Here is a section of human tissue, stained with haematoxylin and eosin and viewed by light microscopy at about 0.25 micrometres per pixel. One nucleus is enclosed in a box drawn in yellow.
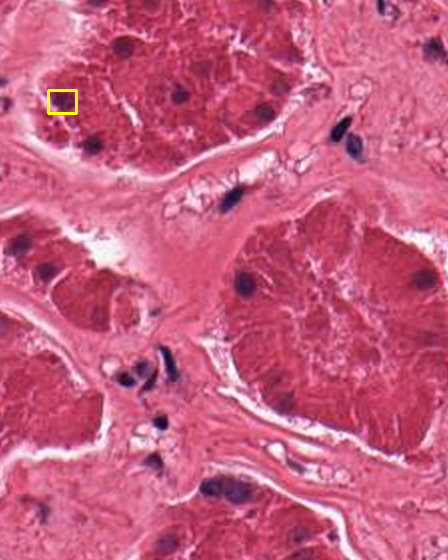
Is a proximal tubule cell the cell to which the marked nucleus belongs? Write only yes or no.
yes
